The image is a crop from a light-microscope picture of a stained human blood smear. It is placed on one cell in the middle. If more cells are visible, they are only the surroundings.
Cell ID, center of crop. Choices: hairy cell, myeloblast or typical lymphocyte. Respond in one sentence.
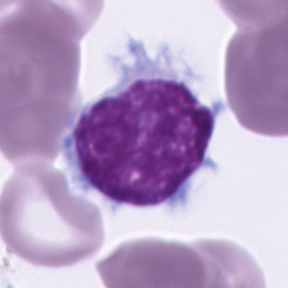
Located at the centre of the crop is a hairy cell.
